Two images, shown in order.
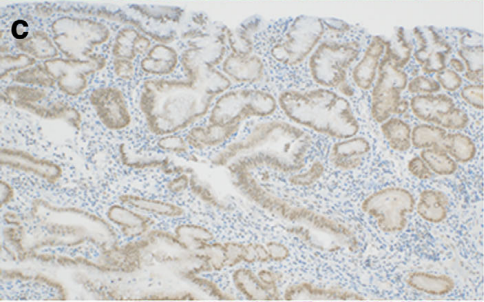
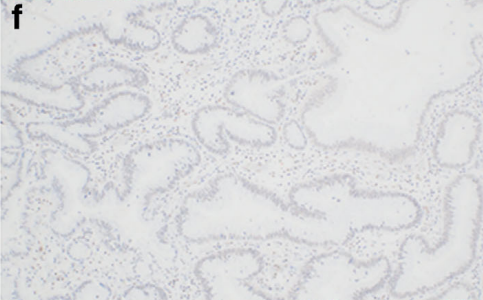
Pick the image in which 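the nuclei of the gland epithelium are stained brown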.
The first image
